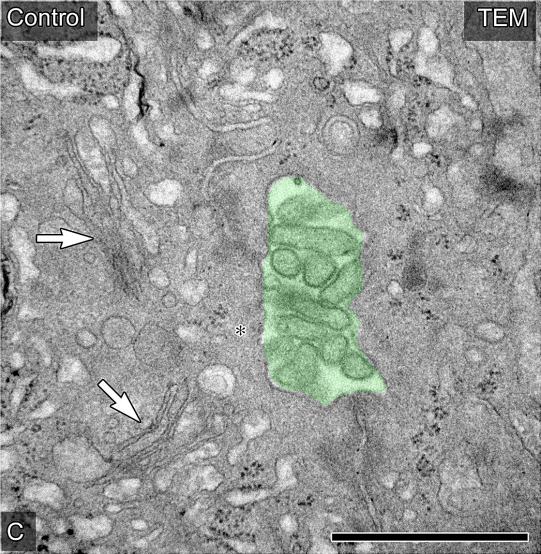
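Here, in a thin section between two liver cells, a bile canaliculus is coloured green. Its lumen holds round and oval cross-sections of microvilli projecting from the cell membranes. Around it lies a zone of fine, even cytoplasm with few membrane-bound organelles, a clear rim free of other organelles. Further away, at left, stacks of parallel flattened cisternae with small vesicles nearby mark the Golgi apparatus. Scattered pale round and tubular profiles and dark granular patches fill the rest of the hepatocyte cytoplasm.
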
